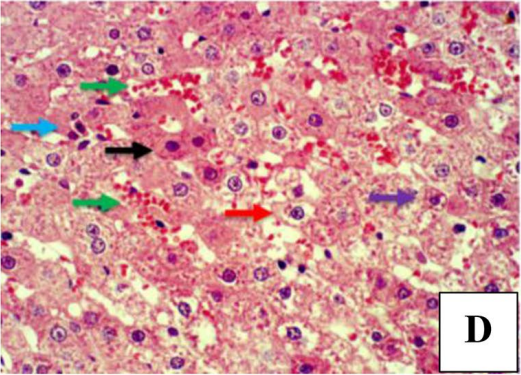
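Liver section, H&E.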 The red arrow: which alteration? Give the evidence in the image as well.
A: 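Hepatocytes with pale, clear, bubbly cytoplasm. Many small vacuoles in the cytoplasm around the nucleus.
Vacuolar degeneration.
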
